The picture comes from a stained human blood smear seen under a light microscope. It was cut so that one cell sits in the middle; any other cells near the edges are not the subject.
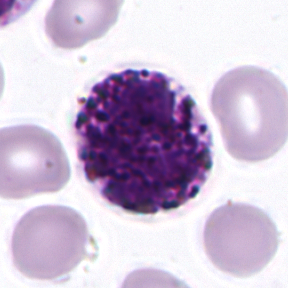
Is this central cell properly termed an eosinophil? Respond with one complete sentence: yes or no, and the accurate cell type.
No, the cell of interest here is a basophil and not an eosinophil.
